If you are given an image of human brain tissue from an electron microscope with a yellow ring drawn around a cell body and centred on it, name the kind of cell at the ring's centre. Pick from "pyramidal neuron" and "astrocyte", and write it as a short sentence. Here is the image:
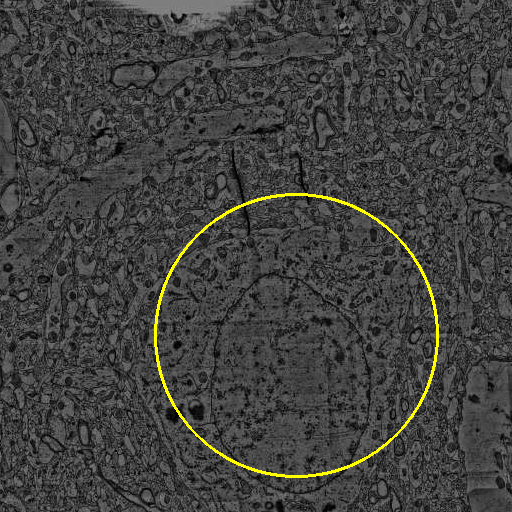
The cell at the ring's centre is a pyramidal neuron.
